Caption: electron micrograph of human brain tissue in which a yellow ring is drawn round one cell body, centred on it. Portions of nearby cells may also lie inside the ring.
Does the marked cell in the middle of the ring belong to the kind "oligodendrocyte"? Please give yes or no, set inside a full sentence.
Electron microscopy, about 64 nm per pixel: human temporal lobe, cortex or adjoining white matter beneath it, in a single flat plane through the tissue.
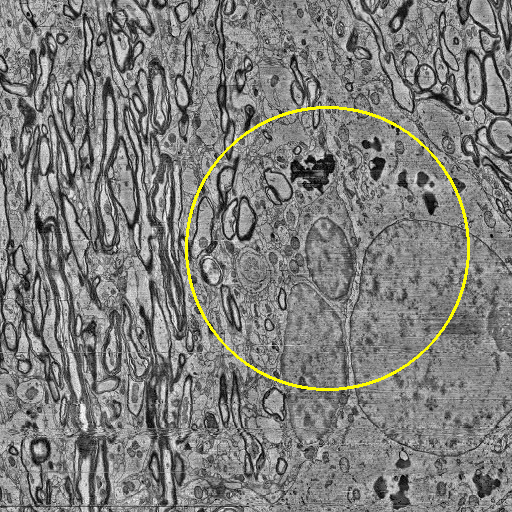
Yes, the marked cell that the ring is centred on in the picture is of that kind.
